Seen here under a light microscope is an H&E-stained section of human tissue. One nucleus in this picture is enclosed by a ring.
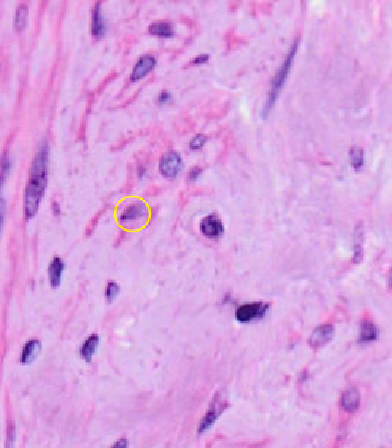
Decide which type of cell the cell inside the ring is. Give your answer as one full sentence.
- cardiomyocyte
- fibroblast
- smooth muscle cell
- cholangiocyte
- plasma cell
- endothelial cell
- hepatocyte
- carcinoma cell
Within this tissue, the cell inside the ring is a smooth muscle cell.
